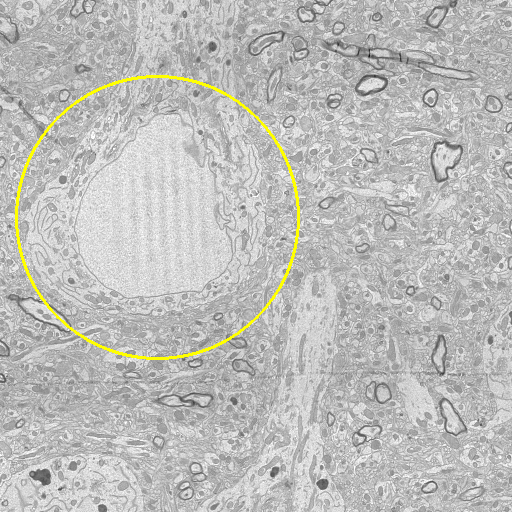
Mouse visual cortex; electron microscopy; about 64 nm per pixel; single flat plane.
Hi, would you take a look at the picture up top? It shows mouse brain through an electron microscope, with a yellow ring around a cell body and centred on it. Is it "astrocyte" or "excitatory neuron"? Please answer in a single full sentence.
The best fit for the cell in the middle of the ring is an excitatory neuron, I reckon.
